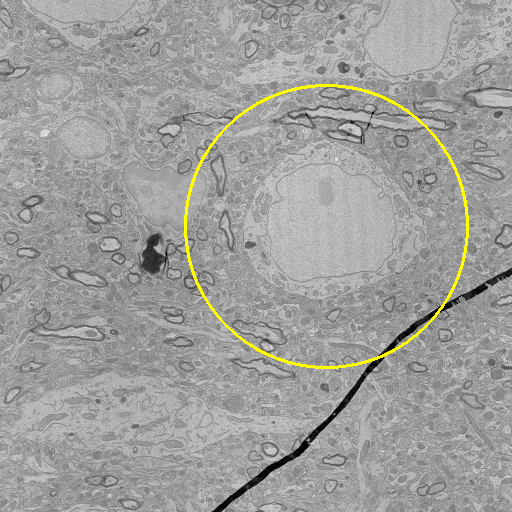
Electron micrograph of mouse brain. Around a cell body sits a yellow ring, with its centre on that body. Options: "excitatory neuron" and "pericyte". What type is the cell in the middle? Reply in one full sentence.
The cell sitting at the centre of the yellow ring is an excitatory neuron.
